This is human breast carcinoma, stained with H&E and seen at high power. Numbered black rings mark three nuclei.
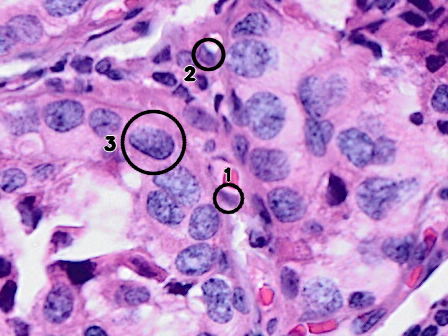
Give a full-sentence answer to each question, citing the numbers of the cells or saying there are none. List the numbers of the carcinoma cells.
The cell marked by number 3 is a carcinoma cell; the other marked cells are not.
